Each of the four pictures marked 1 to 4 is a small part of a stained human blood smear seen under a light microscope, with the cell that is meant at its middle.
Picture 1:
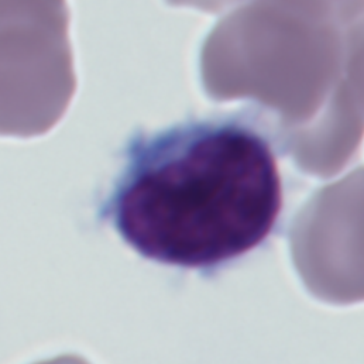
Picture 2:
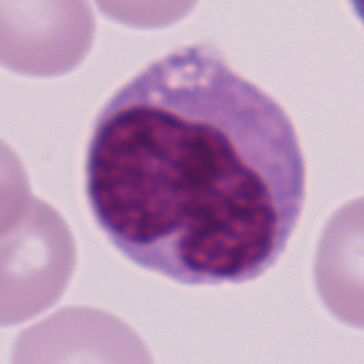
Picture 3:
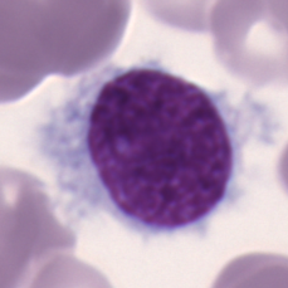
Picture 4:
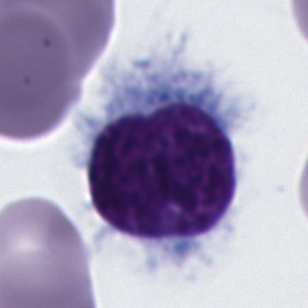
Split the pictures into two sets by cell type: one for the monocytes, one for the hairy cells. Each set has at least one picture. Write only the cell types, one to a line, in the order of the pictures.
hairy cell
monocyte
hairy cell
hairy cell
